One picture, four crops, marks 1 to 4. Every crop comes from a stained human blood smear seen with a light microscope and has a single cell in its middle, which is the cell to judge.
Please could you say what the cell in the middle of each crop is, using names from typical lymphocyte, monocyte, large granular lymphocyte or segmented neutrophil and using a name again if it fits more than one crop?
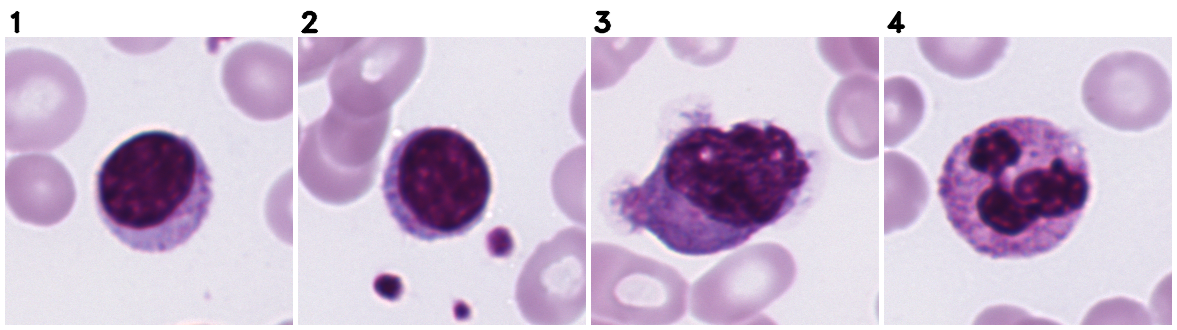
1: typical lymphocyte
2: typical lymphocyte
3: monocyte
4: segmented neutrophil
